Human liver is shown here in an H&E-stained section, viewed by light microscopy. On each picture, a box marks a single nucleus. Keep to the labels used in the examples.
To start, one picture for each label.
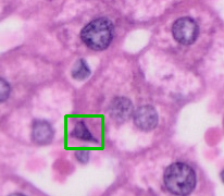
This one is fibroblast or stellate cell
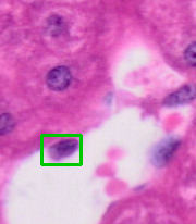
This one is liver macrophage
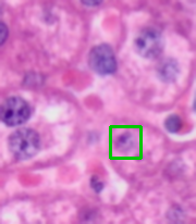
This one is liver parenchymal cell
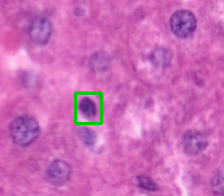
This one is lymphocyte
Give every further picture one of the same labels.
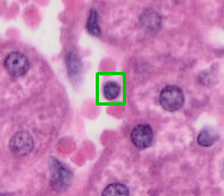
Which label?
lymphocyte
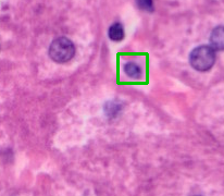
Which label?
lymphocyte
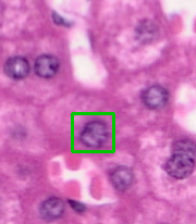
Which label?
liver parenchymal cell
